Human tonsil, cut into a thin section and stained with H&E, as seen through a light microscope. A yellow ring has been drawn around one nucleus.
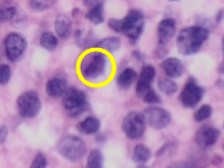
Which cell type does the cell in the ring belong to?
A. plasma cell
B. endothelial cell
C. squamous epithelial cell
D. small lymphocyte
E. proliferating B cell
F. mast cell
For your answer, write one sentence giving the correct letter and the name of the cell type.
Option E names the cell in the ring correctly as a proliferating B cell.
